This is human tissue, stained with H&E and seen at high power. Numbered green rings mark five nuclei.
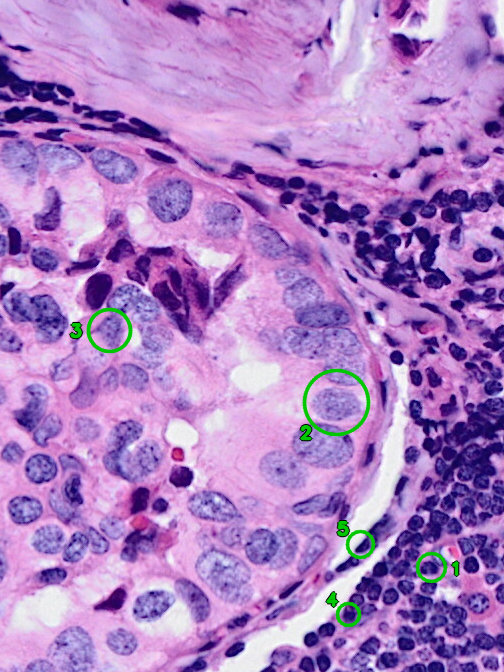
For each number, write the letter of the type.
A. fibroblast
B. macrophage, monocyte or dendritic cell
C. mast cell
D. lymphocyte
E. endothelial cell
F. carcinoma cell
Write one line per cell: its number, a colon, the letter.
1: D
2: F
3: F
4: D
5: D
